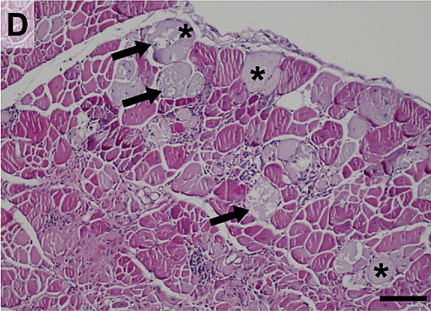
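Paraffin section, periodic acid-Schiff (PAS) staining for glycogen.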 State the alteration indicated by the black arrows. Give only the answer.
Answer: Vacuoles/fragmentation.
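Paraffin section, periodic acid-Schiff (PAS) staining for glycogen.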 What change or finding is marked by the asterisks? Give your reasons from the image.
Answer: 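The fibres with asterisks are pale grey-pink amid strongly magenta fibres. They are larger than most neighbouring fibres. That points to this answer: large pale myofibres.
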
